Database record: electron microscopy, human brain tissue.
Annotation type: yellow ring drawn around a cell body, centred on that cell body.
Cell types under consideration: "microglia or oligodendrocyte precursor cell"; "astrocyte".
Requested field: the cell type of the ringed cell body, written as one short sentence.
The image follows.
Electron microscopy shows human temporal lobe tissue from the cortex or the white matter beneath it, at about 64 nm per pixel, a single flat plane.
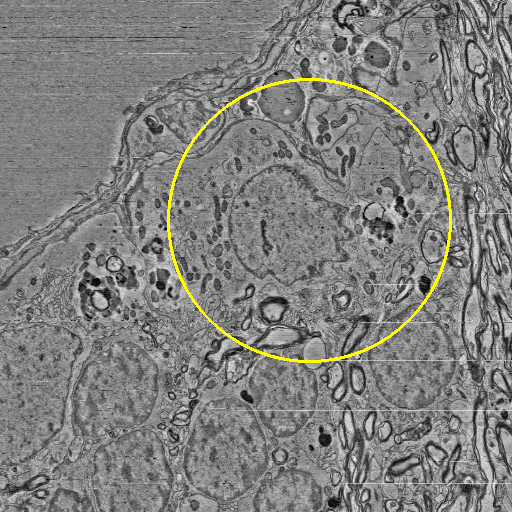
The ringed cell body represents an astrocyte.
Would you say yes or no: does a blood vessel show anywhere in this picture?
Yes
